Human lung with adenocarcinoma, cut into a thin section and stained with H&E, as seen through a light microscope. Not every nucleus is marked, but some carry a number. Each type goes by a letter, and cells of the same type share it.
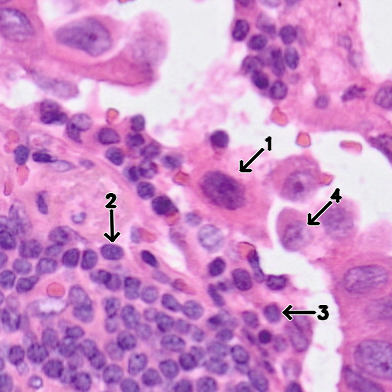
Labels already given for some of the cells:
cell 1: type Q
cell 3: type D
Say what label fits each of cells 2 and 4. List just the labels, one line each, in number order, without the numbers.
type D
type Q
